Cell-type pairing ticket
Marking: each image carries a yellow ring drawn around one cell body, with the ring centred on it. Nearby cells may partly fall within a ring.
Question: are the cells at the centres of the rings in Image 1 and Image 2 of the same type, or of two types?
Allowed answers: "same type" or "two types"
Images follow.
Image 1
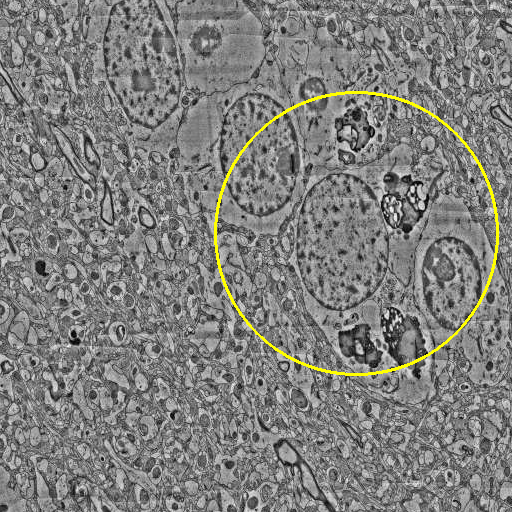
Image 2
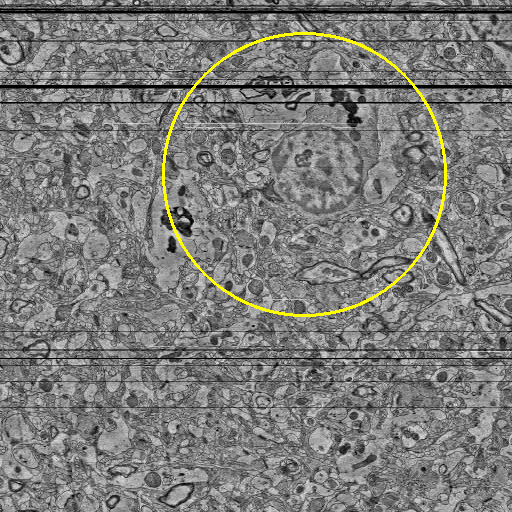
two types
